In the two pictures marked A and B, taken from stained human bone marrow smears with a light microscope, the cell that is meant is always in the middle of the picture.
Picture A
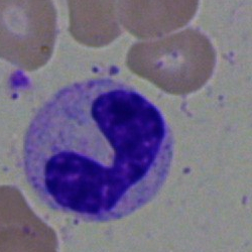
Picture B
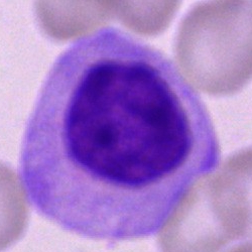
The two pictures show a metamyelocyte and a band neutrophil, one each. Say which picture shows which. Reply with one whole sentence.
The cell in picture A is a band neutrophil, and the one in picture B is a metamyelocyte.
